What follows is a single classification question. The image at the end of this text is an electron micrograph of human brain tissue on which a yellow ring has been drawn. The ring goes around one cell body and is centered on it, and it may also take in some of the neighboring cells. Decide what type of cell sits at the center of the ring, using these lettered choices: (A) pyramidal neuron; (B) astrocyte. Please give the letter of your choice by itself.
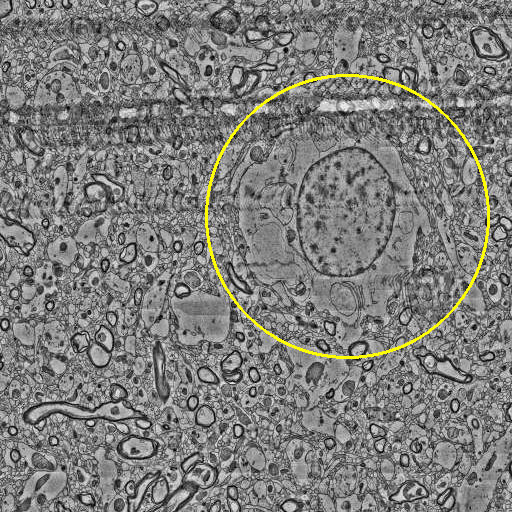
B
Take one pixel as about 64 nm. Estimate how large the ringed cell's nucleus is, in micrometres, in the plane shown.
Roughly 8 by 6 micrometres in this plane, for the nucleus of the ringed cell.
